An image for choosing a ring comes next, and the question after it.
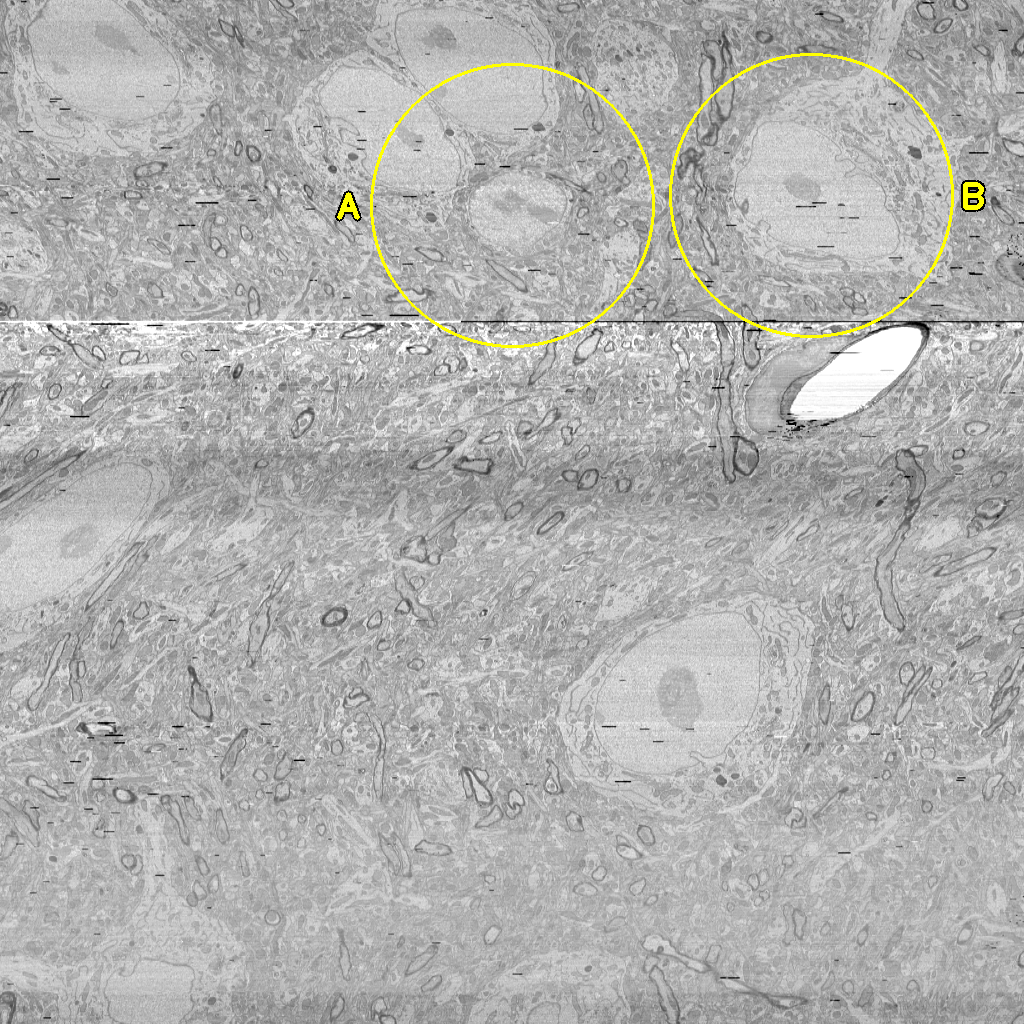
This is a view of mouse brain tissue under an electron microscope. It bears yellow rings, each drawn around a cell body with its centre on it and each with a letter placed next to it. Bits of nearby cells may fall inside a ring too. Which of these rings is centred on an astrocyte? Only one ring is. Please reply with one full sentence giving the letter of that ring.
Of all the lettered rings, A is the one centred on a cell of that kind.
